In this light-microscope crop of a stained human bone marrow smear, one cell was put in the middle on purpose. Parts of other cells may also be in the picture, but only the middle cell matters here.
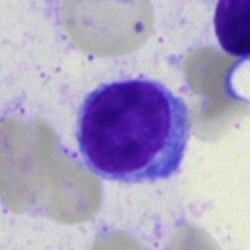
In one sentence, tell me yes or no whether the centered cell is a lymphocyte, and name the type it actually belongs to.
Yes, the middle of the crop is occupied by a lymphocyte.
